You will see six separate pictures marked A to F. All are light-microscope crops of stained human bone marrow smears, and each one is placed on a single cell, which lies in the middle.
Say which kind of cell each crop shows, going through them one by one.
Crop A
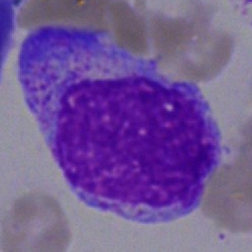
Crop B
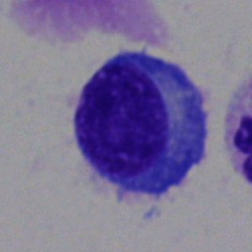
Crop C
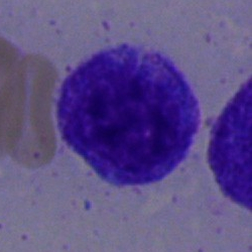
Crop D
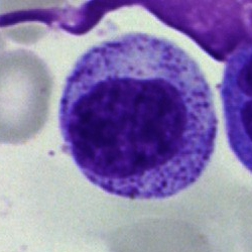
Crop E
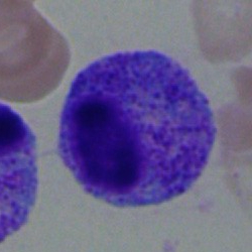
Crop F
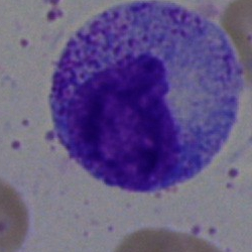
A: promyelocyte
B: plasma cell
C: promyelocyte
D: myelocyte
E: myelocyte
F: myelocyte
